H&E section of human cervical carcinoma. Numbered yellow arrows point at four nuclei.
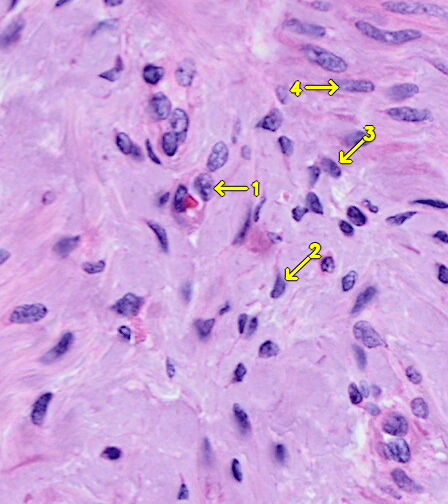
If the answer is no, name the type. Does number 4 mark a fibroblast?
No, it is a smooth muscle cell.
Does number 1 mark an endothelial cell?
Yes.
